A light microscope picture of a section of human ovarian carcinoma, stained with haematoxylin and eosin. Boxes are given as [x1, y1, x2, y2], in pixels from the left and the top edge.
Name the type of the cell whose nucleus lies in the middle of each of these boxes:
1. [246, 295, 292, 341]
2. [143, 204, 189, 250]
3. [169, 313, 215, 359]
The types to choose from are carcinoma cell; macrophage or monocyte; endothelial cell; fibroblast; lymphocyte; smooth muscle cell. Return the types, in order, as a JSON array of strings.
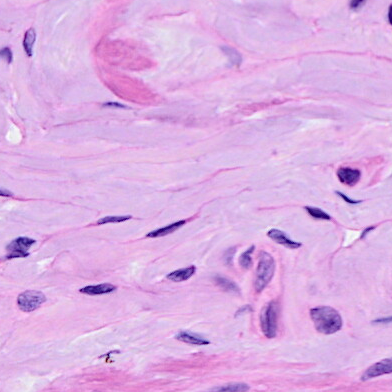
["endothelial cell", "fibroblast", "fibroblast"]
